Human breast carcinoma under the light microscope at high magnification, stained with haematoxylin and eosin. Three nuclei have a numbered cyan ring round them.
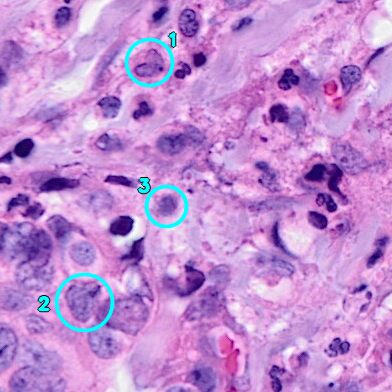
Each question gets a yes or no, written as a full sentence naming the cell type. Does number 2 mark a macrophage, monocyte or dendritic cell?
No, cell 2 is not a macrophage, monocyte or dendritic cell, but is instead a carcinoma cell.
